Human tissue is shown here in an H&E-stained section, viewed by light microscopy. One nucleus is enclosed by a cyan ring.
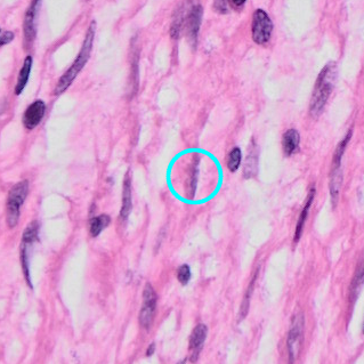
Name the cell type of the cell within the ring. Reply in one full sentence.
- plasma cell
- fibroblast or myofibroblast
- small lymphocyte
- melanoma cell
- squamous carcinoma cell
The expected answer is simply that the cell within the ring is a fibroblast or myofibroblast.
